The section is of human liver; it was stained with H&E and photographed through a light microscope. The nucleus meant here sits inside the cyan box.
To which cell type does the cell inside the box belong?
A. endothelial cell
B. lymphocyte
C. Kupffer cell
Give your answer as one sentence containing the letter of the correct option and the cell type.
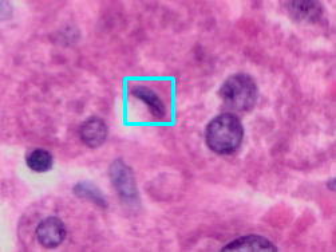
Option A stands as correct, with the cell inside the box being an endothelial cell.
